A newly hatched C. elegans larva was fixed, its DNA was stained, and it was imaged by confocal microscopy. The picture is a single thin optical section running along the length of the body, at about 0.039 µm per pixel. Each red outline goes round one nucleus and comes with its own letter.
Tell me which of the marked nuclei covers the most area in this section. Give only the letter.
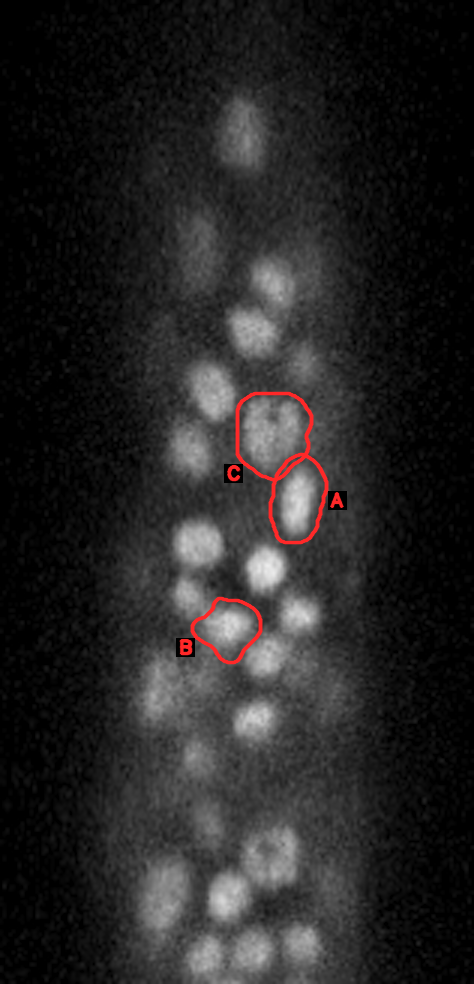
C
